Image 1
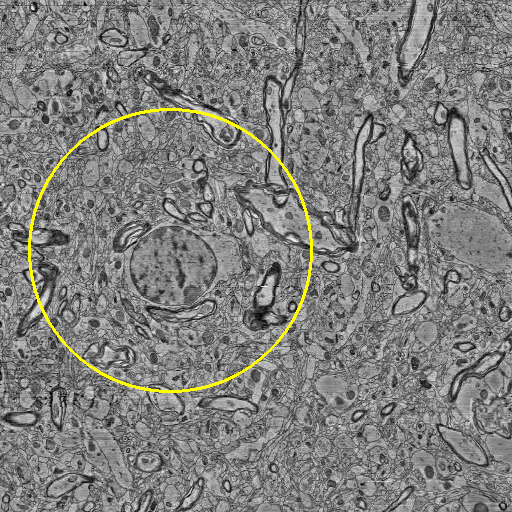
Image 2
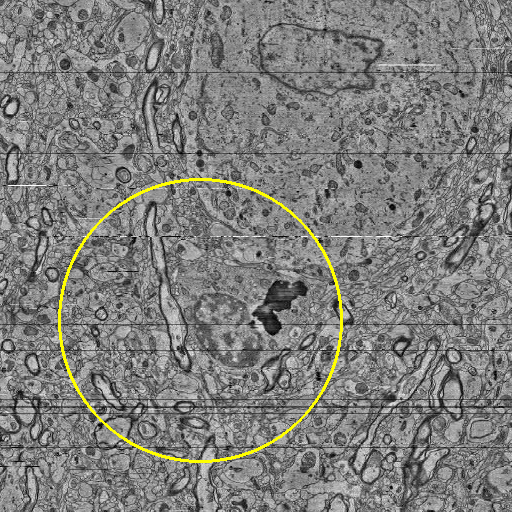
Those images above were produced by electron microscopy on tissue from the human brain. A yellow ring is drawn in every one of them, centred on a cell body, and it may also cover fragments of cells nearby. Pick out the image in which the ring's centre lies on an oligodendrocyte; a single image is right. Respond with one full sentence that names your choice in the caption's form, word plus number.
Image 2 is my choice: its ring is centred on the requested cell.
